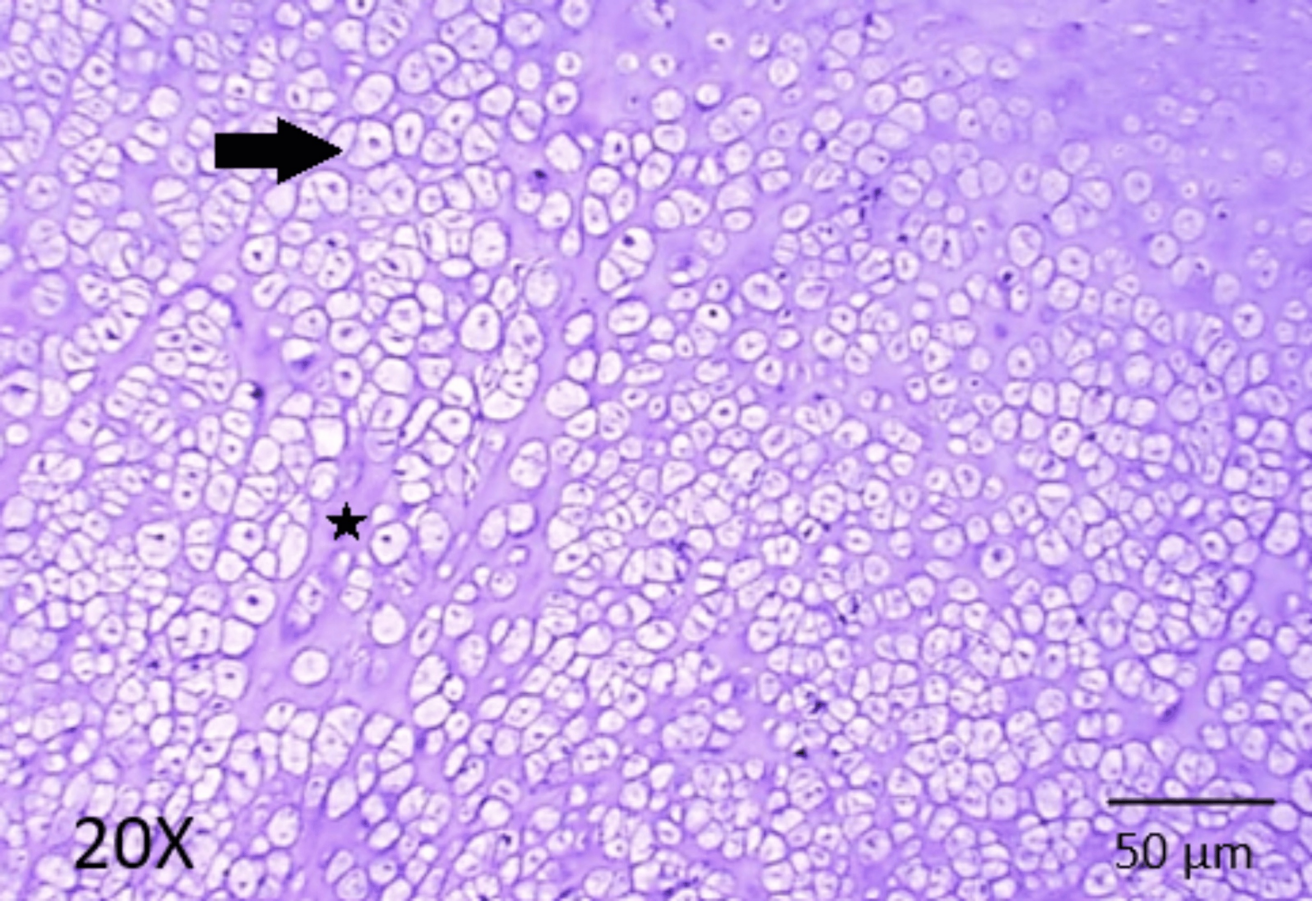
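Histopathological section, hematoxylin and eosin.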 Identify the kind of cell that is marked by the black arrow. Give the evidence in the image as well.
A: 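The arrow tip touches a rounded cell sitting in a clear space. Such cells have a small dark nucleus within pale cytoplasm. These cells are crowded together in groups within purple ground substance. That points to this answer: chondrocyte.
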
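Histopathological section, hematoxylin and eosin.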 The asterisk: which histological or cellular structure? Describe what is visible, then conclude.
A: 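Cartilaginous matrix. The asterisk lies on homogeneous pale purple material between cell groups. This material forms bands separating clusters of cells in clear spaces.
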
